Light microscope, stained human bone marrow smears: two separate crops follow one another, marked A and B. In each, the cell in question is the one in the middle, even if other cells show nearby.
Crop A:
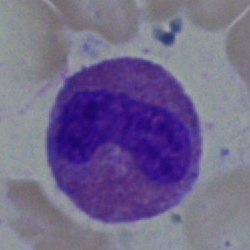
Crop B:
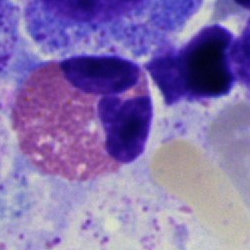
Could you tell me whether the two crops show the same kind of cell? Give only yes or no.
yes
